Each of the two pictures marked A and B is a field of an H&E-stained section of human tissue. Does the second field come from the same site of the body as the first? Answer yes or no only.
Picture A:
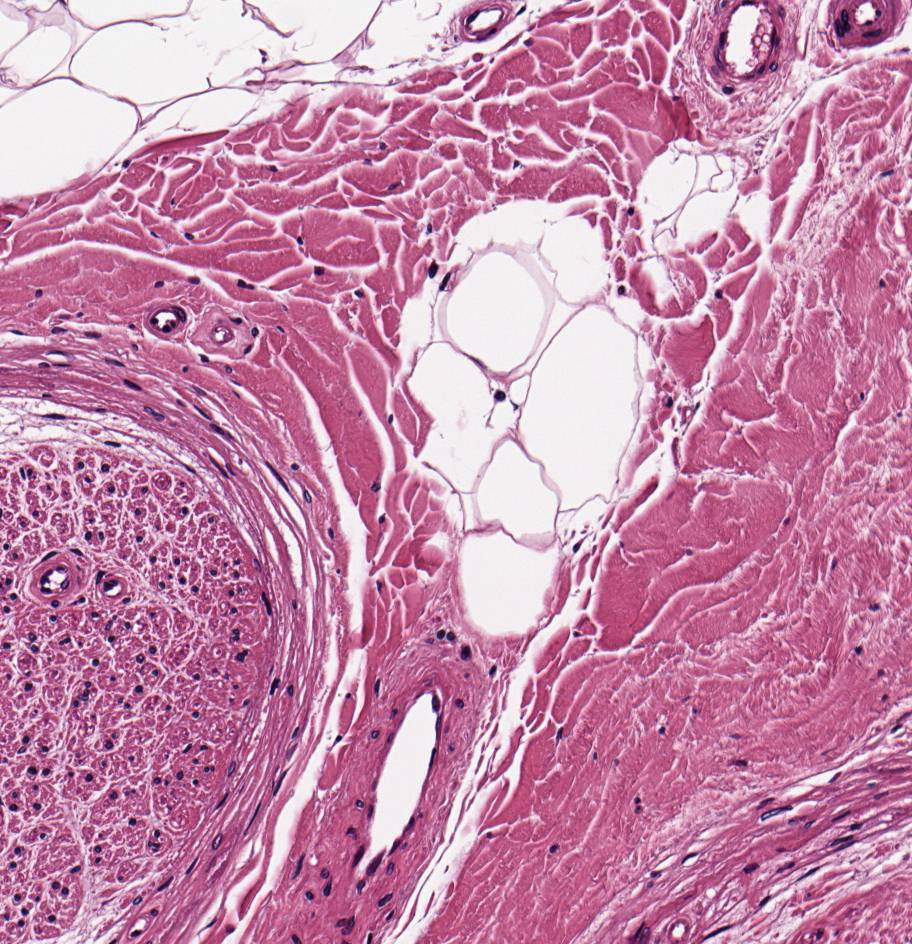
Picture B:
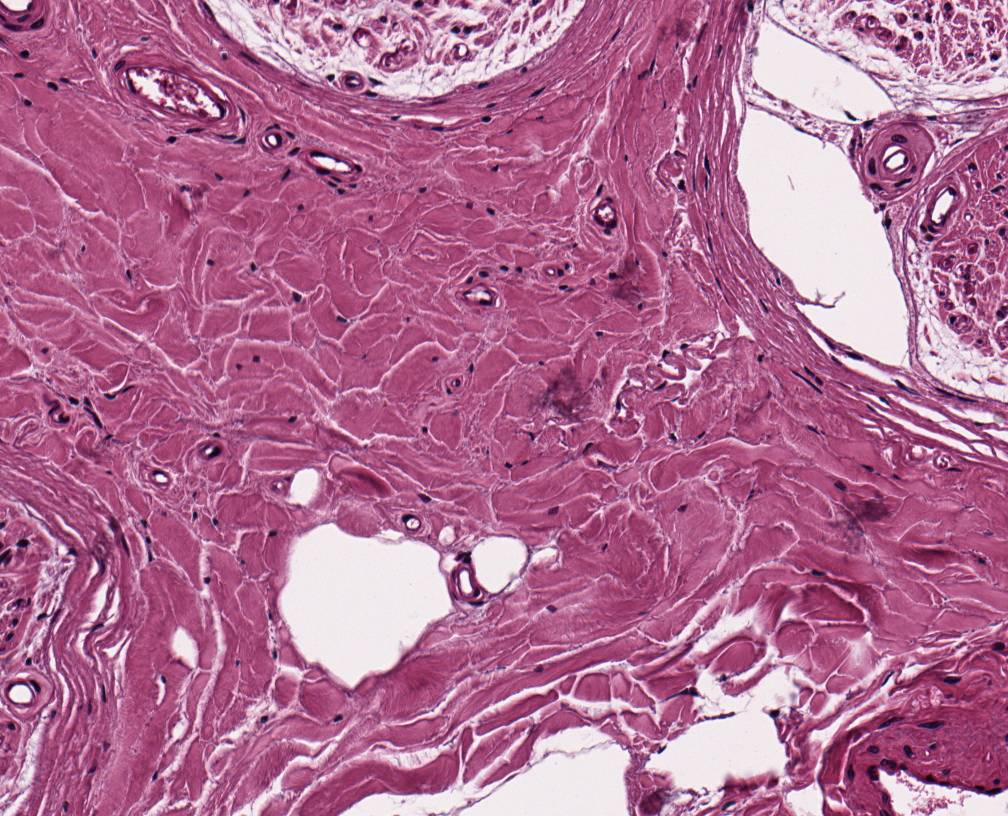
yes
